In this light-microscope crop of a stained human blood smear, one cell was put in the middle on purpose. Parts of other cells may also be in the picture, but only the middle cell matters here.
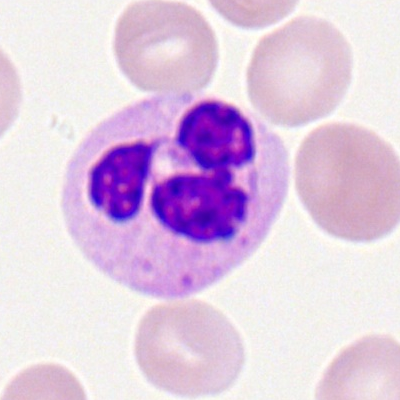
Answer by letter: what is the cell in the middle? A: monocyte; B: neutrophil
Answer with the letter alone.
B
